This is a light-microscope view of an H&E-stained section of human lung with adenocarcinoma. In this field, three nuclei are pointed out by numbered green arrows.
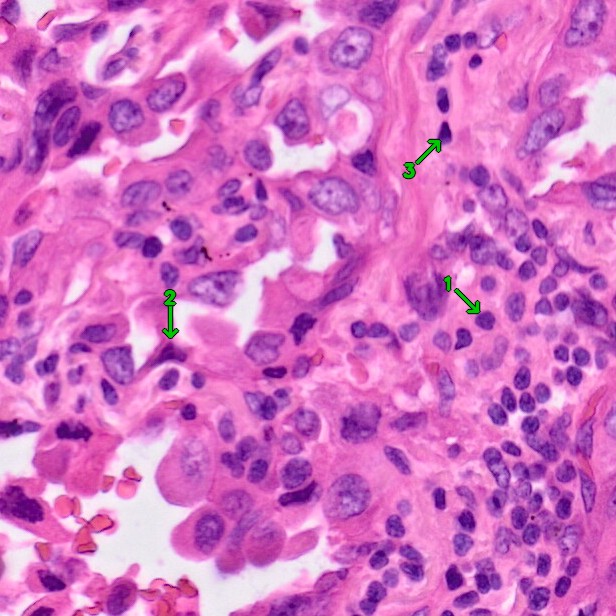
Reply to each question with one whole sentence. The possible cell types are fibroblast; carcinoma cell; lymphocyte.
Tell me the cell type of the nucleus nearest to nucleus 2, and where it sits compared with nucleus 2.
It is a lymphocyte, whose nucleus lies below nucleus 2.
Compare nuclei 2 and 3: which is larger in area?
Number 2 is larger; its area is about 2.5 times that of number 3.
